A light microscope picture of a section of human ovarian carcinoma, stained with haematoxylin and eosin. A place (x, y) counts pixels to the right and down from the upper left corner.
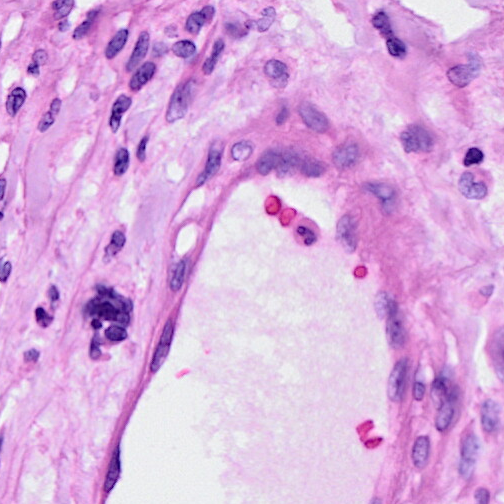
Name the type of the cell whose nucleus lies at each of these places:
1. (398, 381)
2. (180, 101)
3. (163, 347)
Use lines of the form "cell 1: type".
cell 1: endothelial cell
cell 2: fibroblast
cell 3: endothelial cell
